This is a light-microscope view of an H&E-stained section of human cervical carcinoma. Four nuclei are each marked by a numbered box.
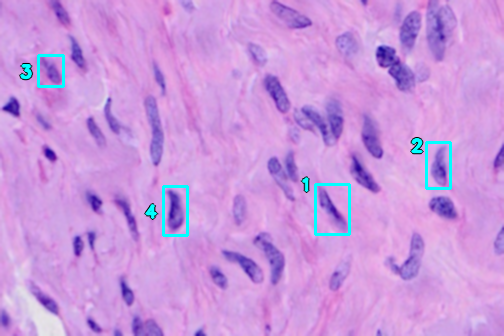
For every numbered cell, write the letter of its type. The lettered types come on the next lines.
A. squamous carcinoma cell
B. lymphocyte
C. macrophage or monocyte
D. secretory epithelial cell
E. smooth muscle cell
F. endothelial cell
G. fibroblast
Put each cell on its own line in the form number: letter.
1: G
2: G
3: E
4: G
